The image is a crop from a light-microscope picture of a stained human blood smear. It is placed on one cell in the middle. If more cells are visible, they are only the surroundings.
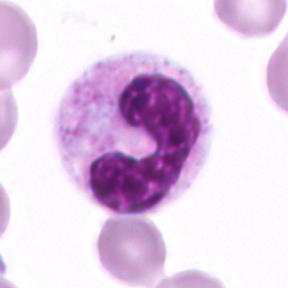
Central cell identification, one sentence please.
The cell in the middle of this crop is a band neutrophil.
